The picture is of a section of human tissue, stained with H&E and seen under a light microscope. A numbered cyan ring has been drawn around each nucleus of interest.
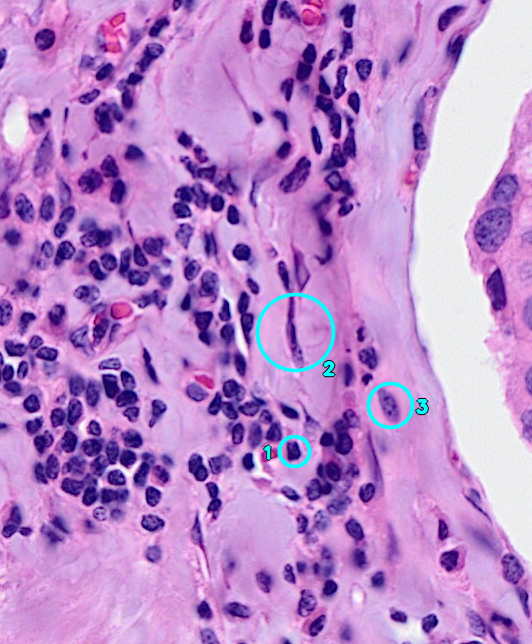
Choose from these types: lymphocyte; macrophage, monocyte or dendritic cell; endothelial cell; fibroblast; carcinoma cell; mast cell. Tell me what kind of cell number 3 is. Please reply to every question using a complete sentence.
Recognised here as a mast cell is the cell numbered 3.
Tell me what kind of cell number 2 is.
Numbered cell 2 is a fibroblast in this tissue section.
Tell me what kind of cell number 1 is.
The one labeled 1 is a lymphocyte, to put it simply.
